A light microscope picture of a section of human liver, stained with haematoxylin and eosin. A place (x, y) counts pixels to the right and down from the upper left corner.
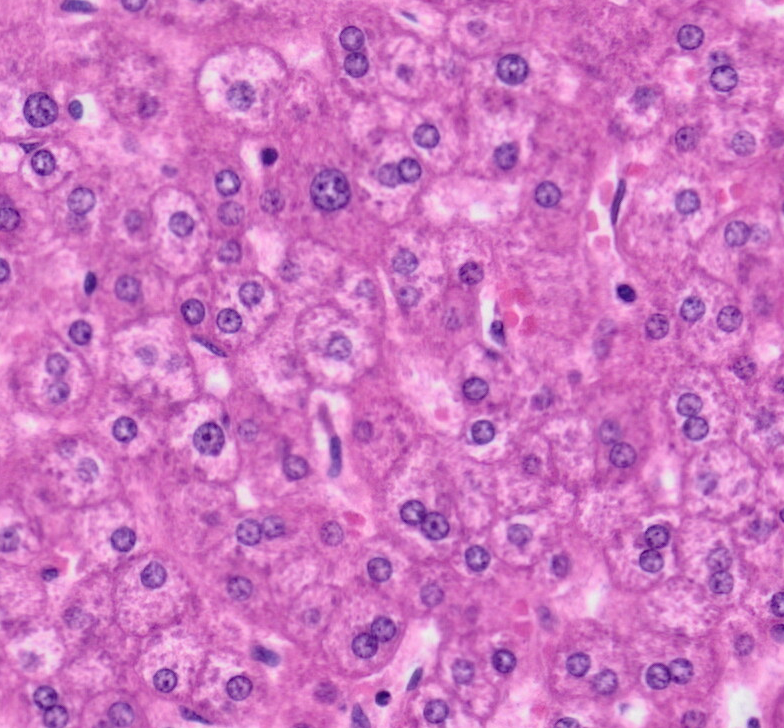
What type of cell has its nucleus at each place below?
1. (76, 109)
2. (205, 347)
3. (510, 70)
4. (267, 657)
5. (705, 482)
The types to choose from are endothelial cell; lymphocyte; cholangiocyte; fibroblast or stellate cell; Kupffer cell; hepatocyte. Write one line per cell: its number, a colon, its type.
1: lymphocyte
2: endothelial cell
3: hepatocyte
4: Kupffer cell
5: hepatocyte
